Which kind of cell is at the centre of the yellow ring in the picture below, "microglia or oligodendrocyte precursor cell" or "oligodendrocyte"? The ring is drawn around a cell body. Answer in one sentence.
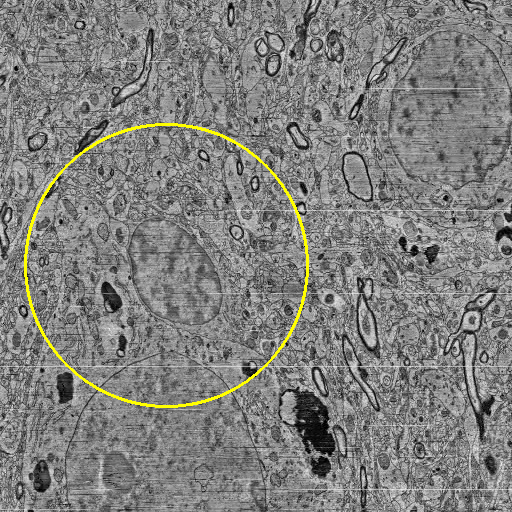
The ring's central cell is an oligodendrocyte.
